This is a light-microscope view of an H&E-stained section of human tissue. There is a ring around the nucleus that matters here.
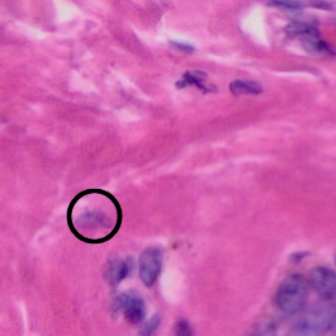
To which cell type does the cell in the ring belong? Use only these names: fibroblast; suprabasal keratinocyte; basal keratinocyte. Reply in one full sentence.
The cell in the ring appears to be a fibroblast.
